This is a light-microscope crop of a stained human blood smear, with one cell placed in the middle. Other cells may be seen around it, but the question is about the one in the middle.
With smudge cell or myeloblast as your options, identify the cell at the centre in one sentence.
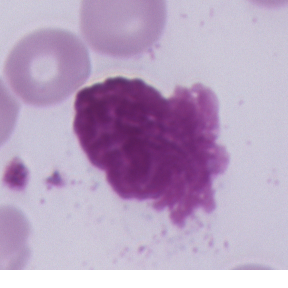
The cell at the middle of the crop is recognized as a smudge cell.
